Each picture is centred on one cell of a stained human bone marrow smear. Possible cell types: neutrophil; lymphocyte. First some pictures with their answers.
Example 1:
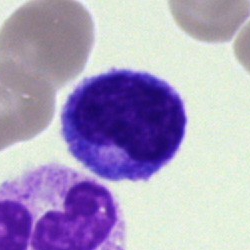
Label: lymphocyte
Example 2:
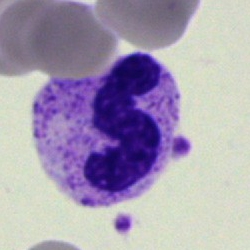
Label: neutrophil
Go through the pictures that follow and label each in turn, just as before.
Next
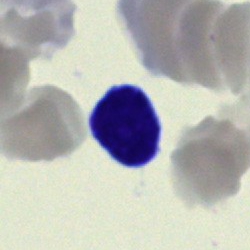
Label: lymphocyte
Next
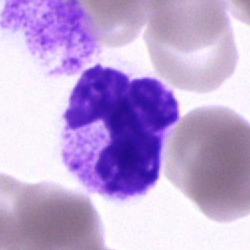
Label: neutrophil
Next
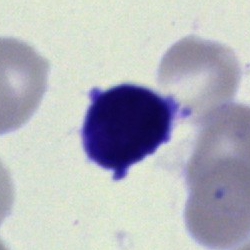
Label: lymphocyte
